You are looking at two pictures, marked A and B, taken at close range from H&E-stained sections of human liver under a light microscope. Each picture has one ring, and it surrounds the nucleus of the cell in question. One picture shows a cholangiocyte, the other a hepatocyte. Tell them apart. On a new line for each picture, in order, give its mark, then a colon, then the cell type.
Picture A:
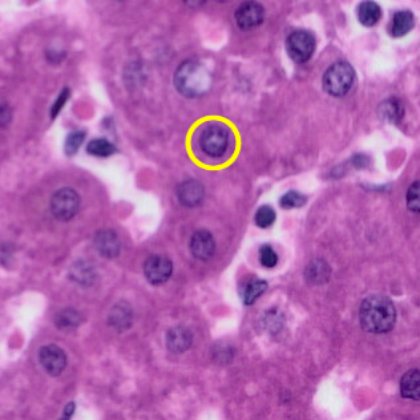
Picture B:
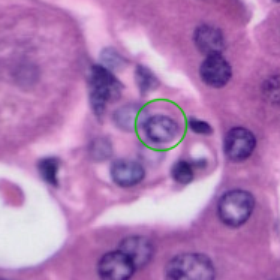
A: hepatocyte
B: cholangiocyte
